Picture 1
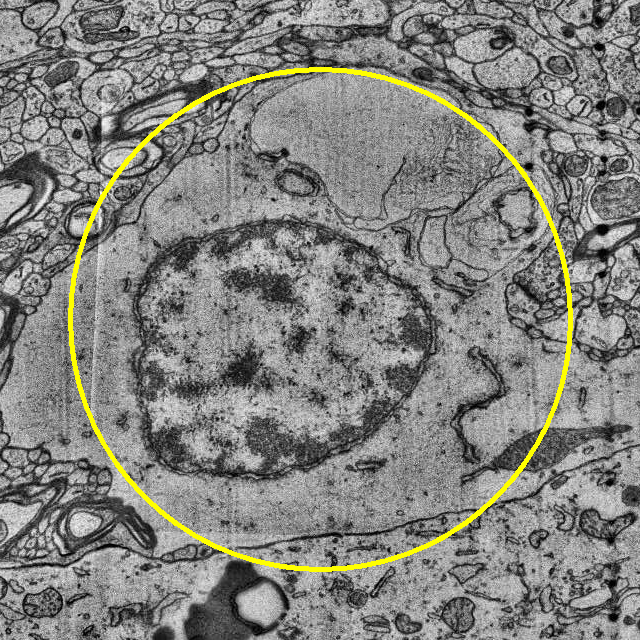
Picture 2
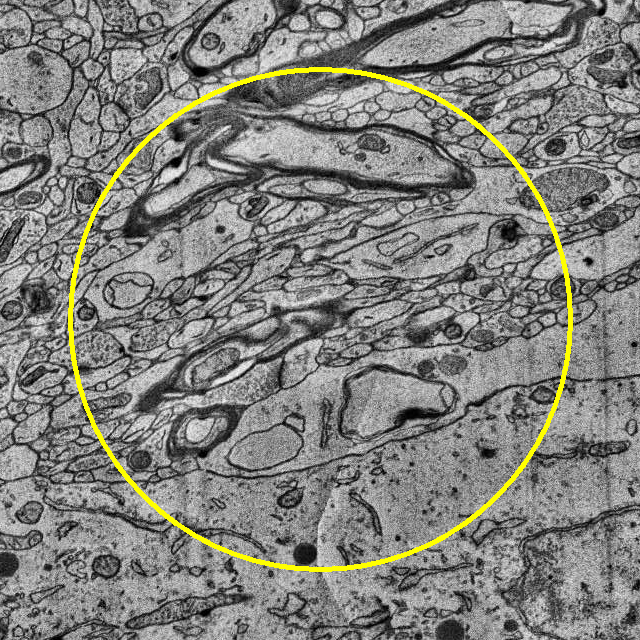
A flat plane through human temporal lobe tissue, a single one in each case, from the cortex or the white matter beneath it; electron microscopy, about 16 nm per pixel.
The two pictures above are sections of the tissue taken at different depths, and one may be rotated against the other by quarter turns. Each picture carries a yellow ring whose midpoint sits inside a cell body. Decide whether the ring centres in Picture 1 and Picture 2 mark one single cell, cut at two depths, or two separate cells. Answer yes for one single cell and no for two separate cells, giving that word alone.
yes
